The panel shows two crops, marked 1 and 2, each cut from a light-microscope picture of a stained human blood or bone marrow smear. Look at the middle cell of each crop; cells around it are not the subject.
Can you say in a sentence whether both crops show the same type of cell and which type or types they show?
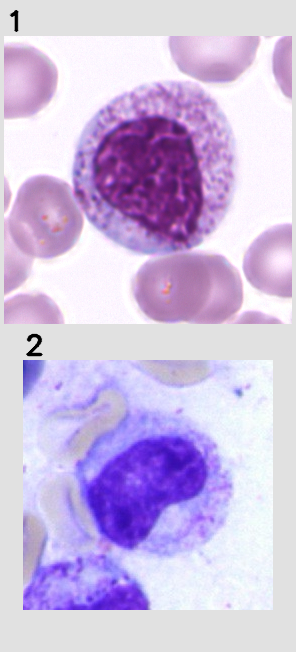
Yes, as for both crops, the cells shown are metamyelocytes.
